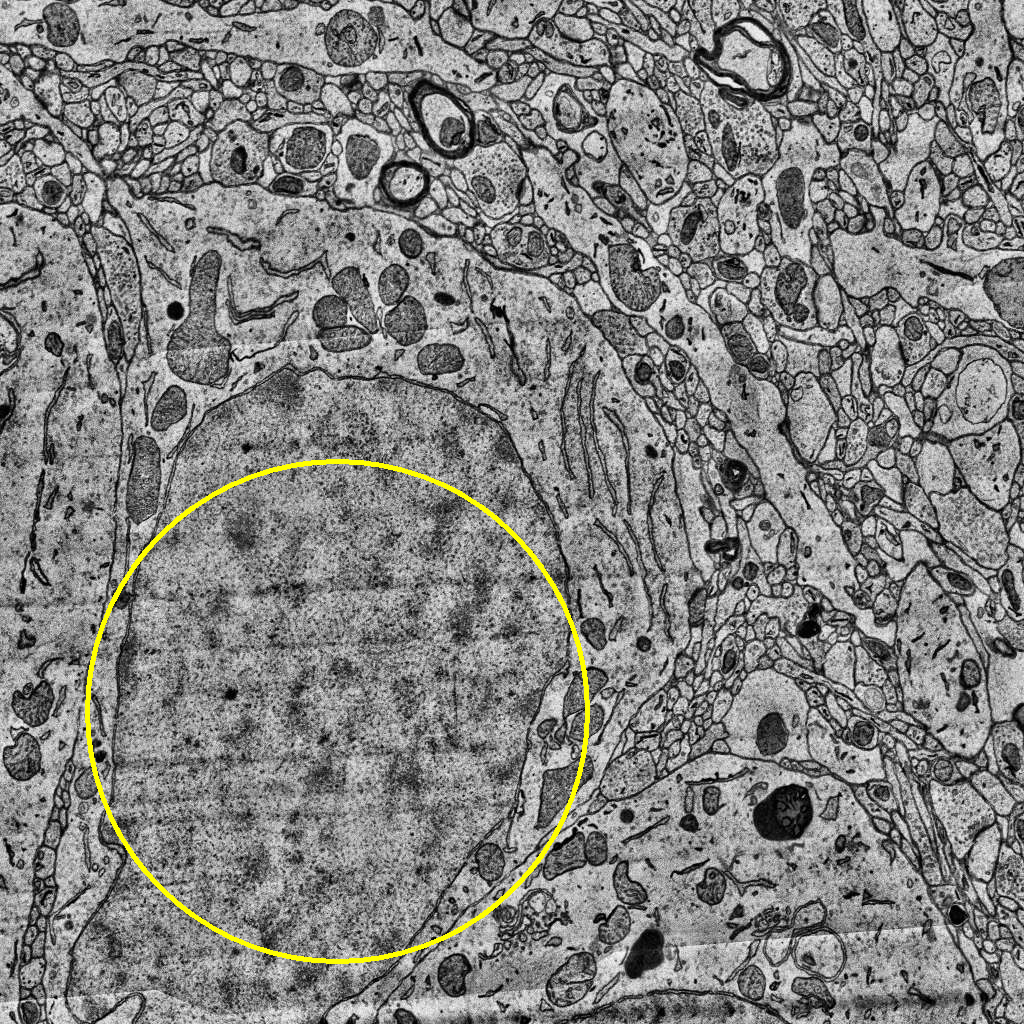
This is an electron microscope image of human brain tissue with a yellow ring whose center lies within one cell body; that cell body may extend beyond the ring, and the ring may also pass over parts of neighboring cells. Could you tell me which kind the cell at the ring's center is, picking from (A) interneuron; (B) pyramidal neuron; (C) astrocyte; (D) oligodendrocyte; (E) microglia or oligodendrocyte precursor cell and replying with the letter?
A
